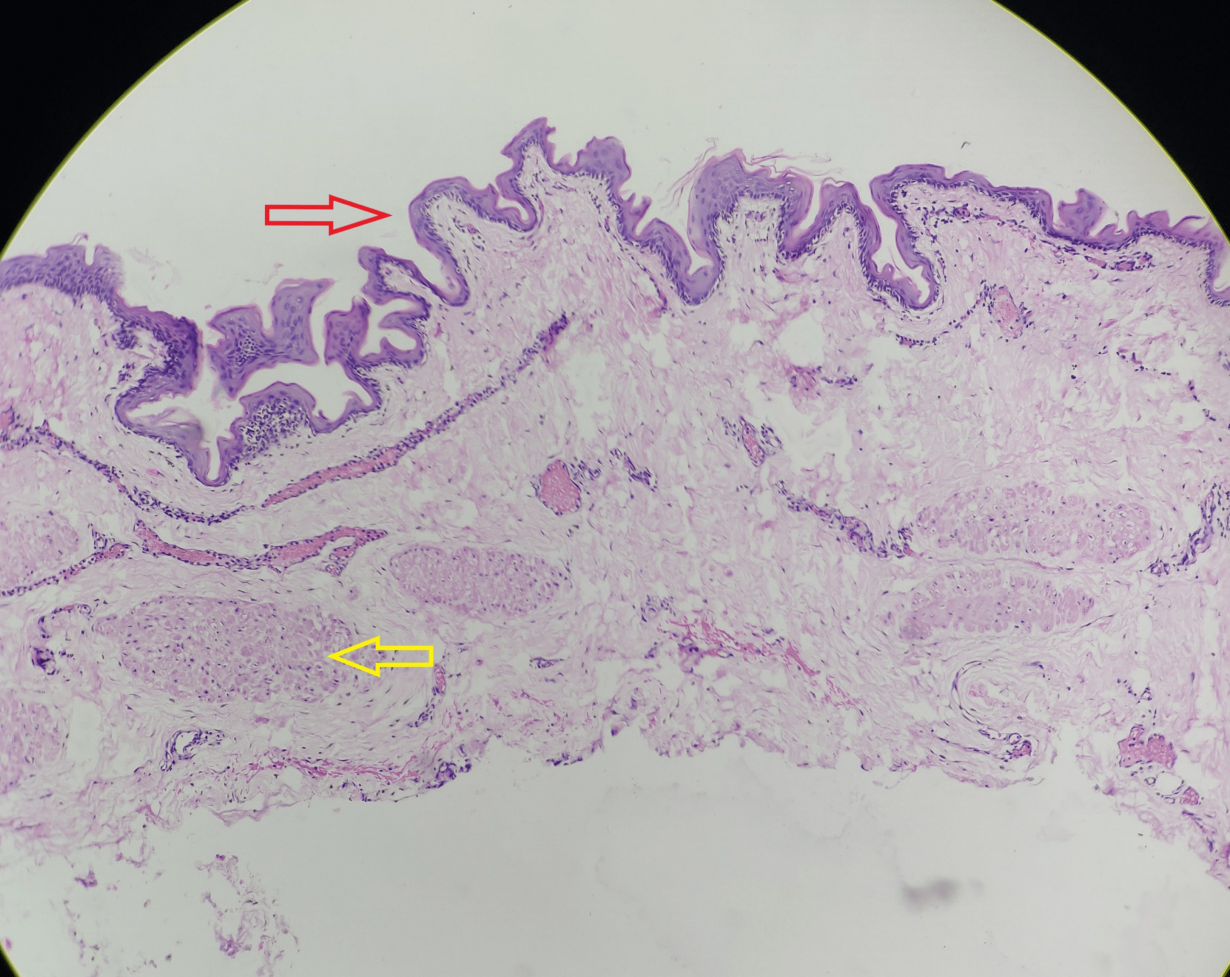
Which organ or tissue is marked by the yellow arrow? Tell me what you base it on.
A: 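Muscle fibers. Oval, well-bounded bundles of pink fibers lie deep in the wall. The bundles are separated from one another by loose pale fibrous tissue. Several such bundles are scattered through the deeper wall.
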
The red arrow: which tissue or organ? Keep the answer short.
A: Keratinized stratified squamous epithelium.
